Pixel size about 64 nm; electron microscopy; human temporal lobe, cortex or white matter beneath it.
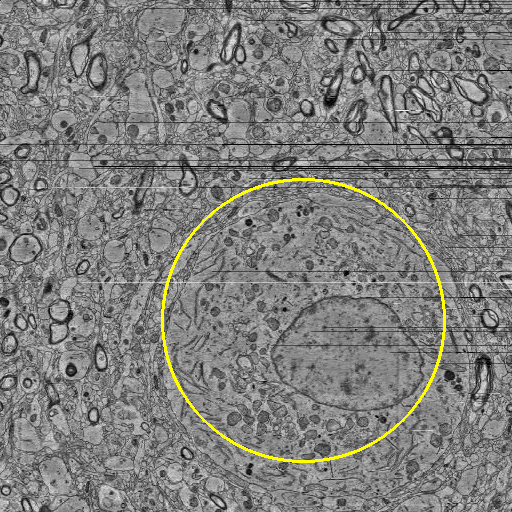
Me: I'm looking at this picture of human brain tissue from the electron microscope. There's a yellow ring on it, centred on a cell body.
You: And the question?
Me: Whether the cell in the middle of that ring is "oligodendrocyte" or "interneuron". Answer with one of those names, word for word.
interneuron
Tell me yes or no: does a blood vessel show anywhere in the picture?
No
